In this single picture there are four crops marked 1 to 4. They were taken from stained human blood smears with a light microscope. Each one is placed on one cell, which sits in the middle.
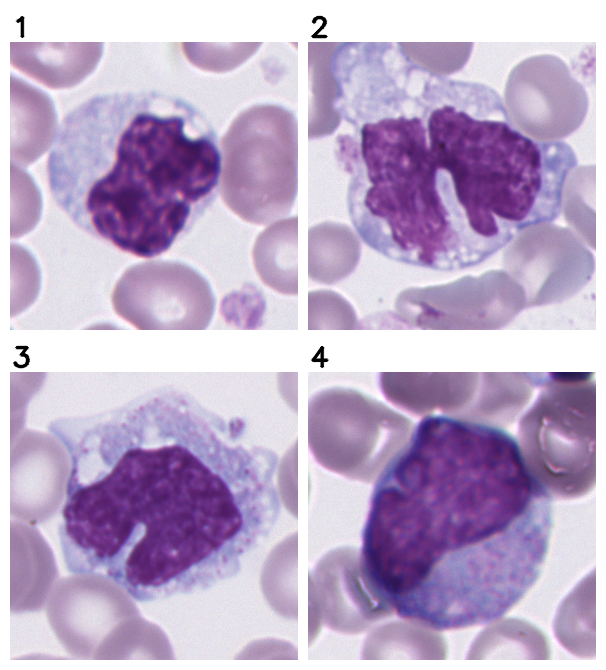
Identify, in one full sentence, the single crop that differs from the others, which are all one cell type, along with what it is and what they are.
Differing from the rest, crop 4 shows a promyelocyte; the others all show monocytes.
